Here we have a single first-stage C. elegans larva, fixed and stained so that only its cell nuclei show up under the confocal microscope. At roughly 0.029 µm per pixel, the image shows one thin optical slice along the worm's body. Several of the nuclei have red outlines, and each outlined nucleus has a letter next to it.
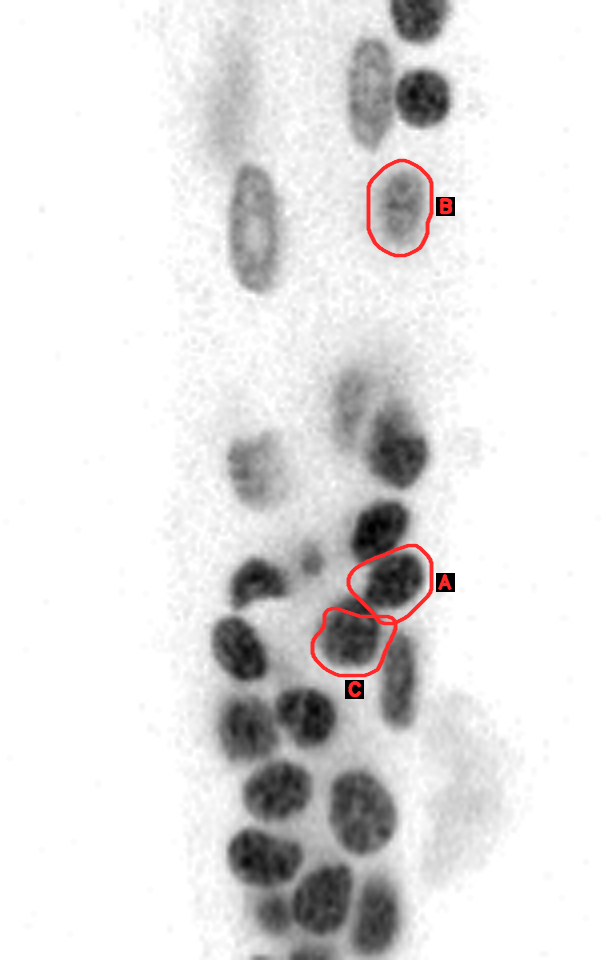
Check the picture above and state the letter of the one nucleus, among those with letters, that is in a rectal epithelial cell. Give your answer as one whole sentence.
C is the nucleus of a rectal epithelial cell.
